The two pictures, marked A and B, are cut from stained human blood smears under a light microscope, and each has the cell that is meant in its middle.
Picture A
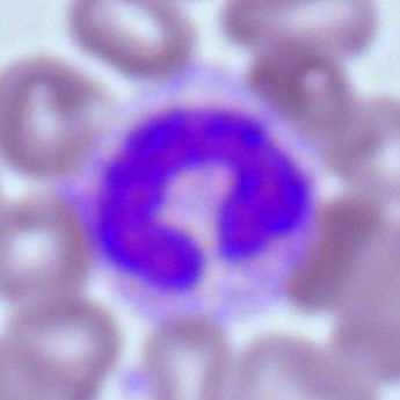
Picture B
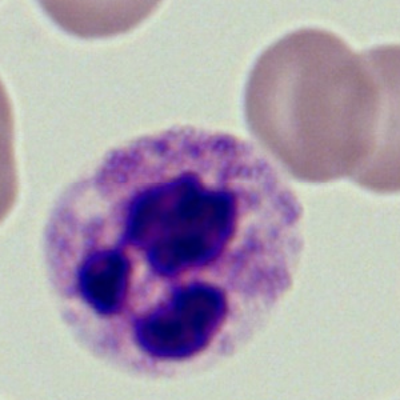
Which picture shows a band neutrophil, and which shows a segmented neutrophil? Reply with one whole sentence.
Picture B shows a segmented neutrophil, while picture A shows a band neutrophil.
